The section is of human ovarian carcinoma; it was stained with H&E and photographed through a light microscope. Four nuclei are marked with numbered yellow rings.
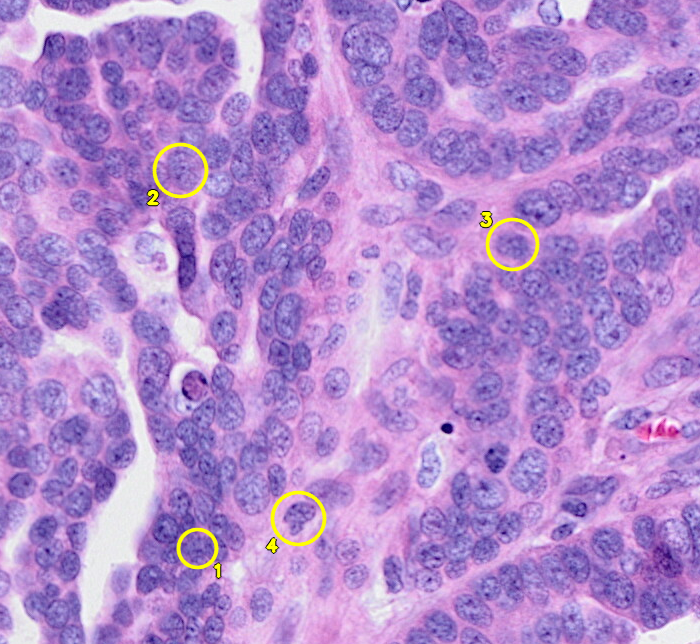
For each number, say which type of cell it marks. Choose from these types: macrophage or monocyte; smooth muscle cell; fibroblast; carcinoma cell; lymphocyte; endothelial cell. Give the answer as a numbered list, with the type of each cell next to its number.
1. carcinoma cell
2. carcinoma cell
3. carcinoma cell
4. macrophage or monocyte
